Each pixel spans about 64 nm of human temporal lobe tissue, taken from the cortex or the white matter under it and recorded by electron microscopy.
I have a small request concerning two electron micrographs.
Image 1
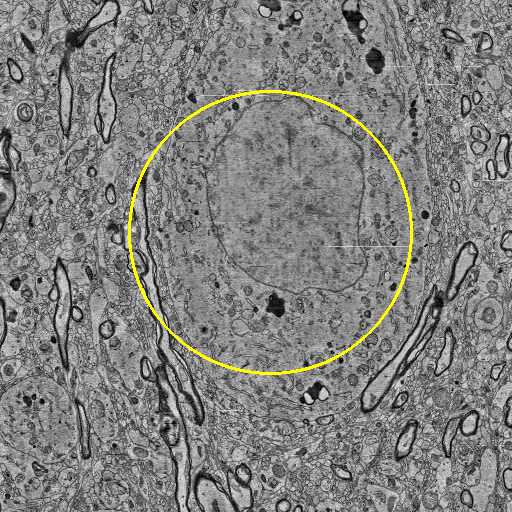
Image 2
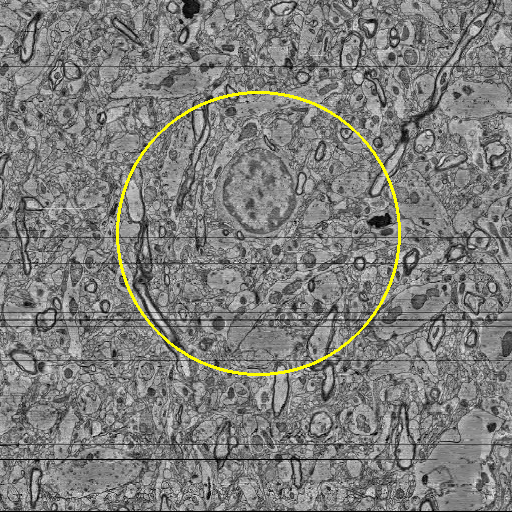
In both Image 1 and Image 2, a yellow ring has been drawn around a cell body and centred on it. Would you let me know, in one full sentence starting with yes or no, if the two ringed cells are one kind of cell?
No, the cells ringed in Image 1 and Image 2 are two kinds of cell.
